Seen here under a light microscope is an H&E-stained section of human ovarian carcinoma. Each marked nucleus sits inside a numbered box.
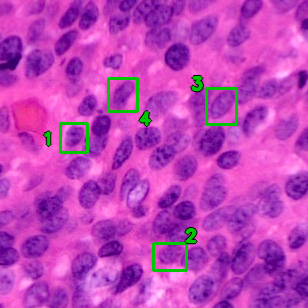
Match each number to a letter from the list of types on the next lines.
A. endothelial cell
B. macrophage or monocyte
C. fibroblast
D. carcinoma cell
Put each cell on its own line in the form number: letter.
1: B
2: D
3: D
4: D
